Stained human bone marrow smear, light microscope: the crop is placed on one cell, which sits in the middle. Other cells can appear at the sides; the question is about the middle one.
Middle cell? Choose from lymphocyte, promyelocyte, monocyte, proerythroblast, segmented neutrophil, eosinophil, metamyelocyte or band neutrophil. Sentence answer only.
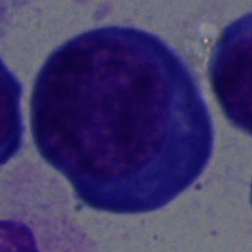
What sits at the centre of this crop is a proerythroblast.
